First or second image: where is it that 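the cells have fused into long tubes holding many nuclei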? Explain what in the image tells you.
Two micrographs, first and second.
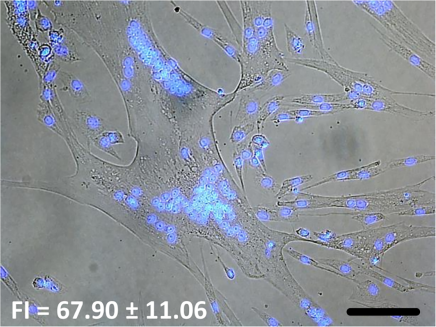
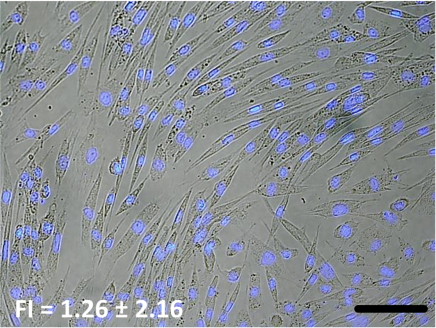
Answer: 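Second image: densely packed spindle-shaped cells, each with a single blue nucleus. First image: wide elongated tubes with clusters of many blue nuclei inside them.
Answer: the first image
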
